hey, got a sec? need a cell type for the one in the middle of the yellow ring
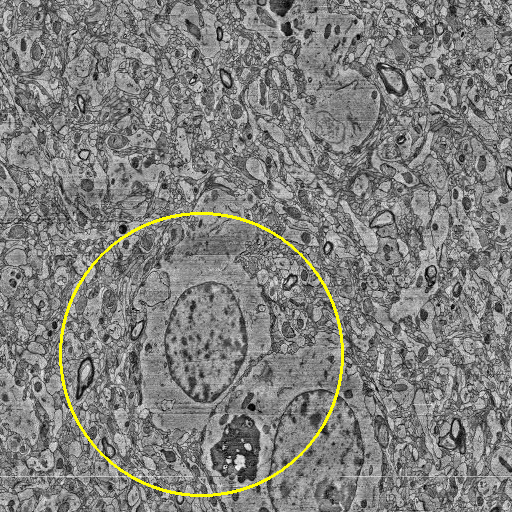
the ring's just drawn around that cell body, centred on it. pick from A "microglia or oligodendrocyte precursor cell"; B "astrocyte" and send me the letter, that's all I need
B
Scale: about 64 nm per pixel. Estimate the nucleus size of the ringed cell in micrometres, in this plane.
The nucleus comes to roughly 8 by 5 micrometres in this plane.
